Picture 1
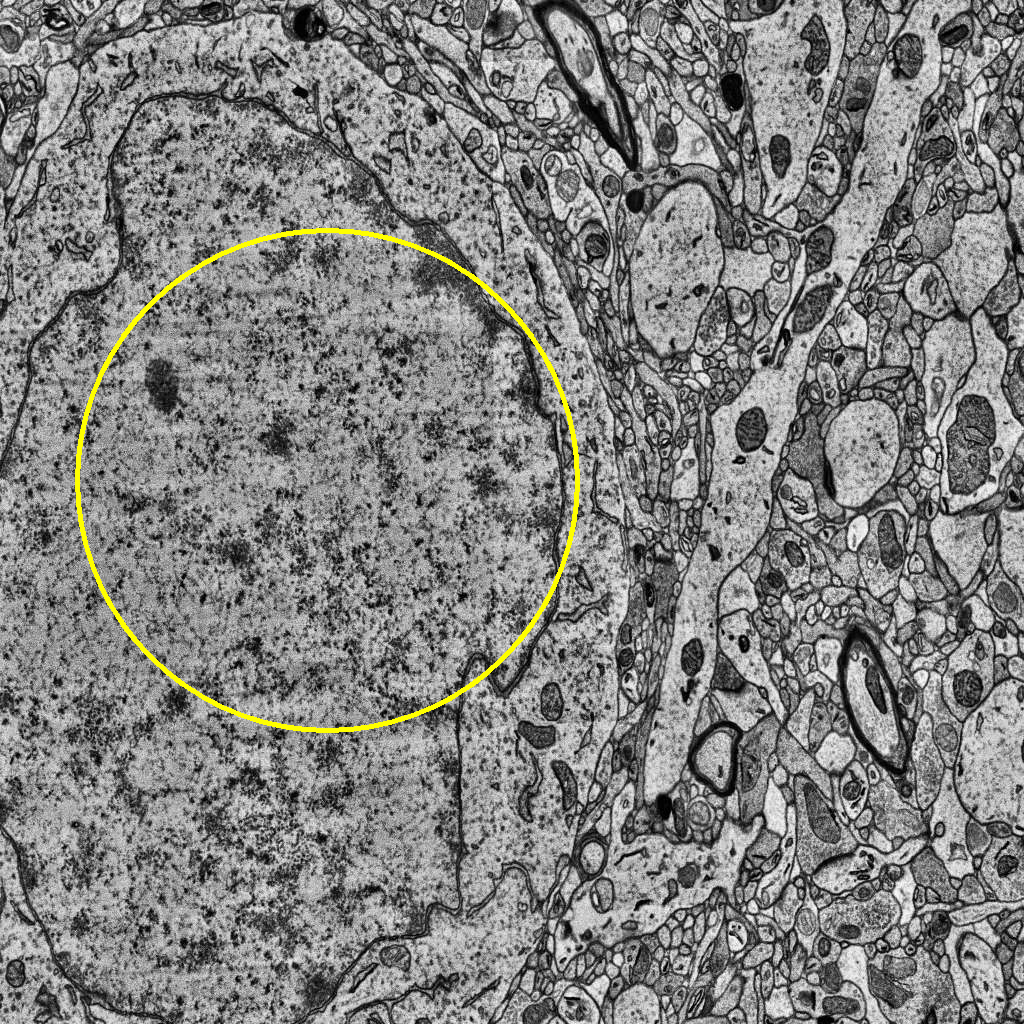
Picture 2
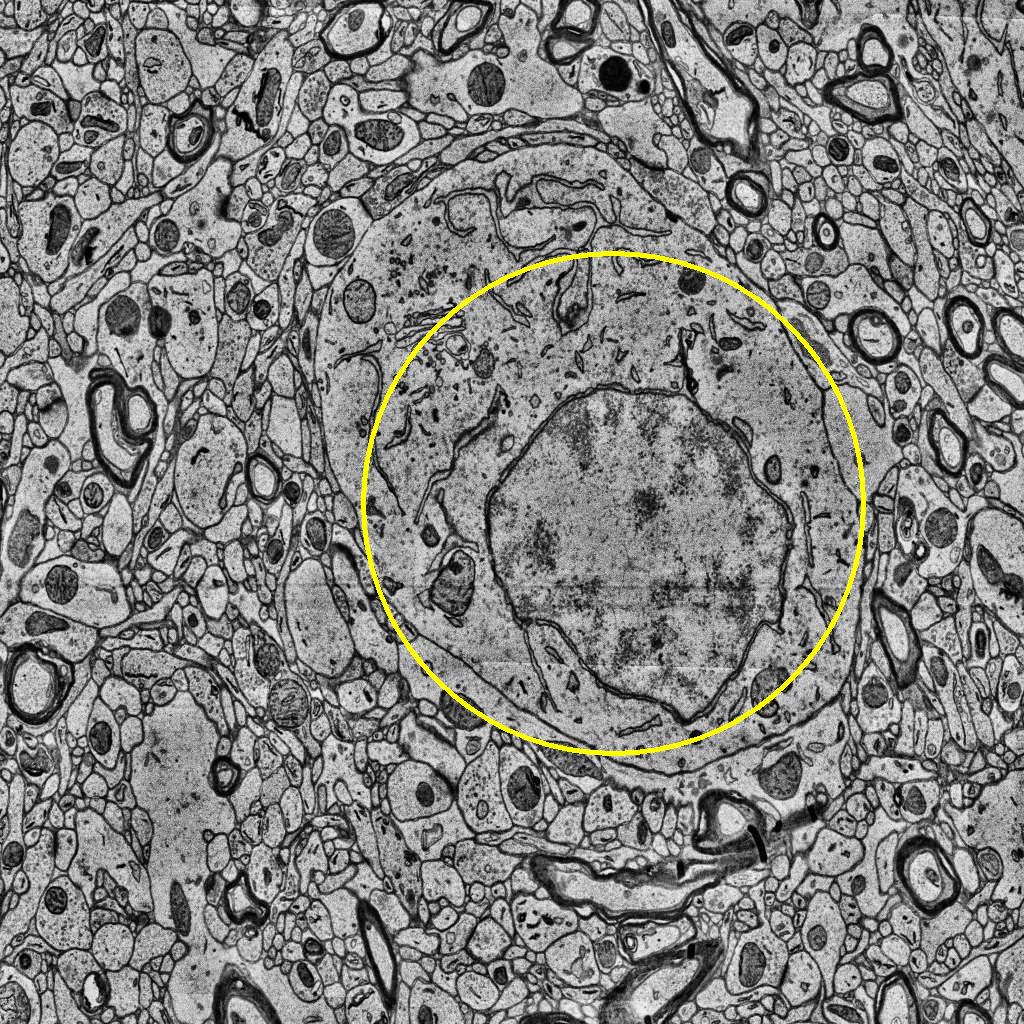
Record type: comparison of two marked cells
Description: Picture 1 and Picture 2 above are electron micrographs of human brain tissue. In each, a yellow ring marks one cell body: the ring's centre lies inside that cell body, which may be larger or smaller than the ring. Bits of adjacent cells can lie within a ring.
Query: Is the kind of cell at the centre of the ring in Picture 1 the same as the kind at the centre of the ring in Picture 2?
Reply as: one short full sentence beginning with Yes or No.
No, the two cells at the ring centres are of two separate kinds.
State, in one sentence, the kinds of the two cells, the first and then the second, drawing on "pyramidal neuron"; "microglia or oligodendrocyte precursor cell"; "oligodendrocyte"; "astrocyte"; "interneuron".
The first ring encloses an interneuron; the second ring encloses a pyramidal neuron.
